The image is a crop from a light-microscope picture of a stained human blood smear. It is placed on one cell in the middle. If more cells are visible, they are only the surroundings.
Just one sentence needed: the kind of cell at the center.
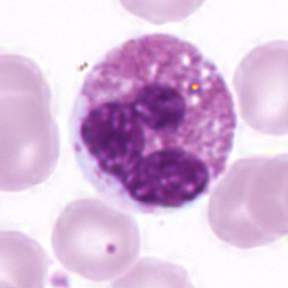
The cell centered in this field of view is an eosinophil.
